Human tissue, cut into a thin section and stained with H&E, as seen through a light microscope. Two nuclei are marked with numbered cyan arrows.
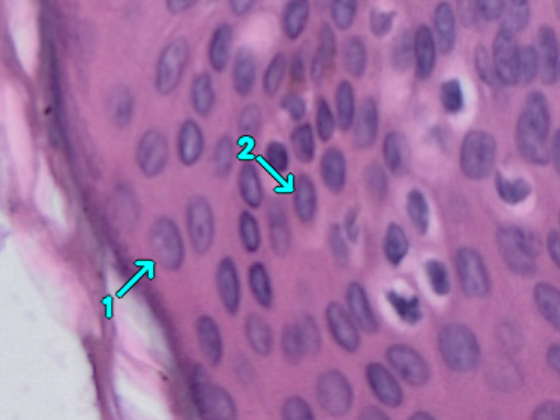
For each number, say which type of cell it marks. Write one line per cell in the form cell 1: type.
cell 1: suprabasal keratinocyte
cell 2: basal keratinocyte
